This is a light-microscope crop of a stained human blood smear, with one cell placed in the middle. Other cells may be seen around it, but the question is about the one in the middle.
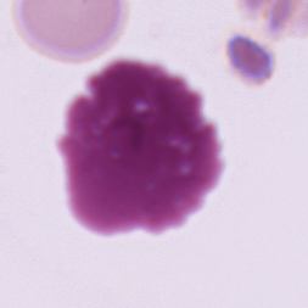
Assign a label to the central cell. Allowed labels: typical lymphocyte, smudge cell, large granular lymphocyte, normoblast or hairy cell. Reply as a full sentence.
In the middle of this smear crop is a smudge cell.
